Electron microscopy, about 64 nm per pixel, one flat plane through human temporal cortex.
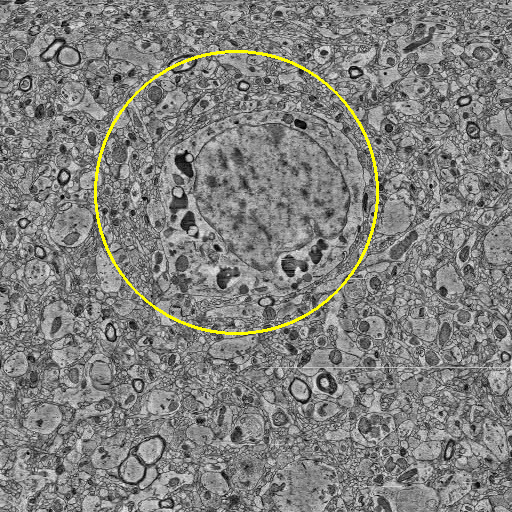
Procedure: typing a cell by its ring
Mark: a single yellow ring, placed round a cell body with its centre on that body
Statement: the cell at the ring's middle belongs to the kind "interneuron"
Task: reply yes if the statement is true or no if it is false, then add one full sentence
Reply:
Yes, this is true: the cell at the ring's centre in the picture belongs to that kind.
